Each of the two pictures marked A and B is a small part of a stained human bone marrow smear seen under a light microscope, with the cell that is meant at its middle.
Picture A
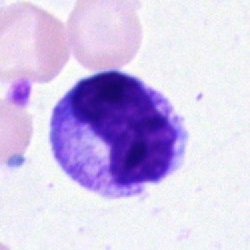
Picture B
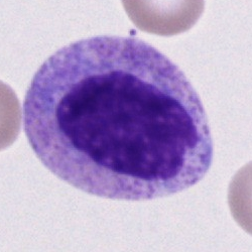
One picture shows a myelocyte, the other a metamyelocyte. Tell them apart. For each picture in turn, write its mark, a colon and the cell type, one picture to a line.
A: metamyelocyte
B: myelocyte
